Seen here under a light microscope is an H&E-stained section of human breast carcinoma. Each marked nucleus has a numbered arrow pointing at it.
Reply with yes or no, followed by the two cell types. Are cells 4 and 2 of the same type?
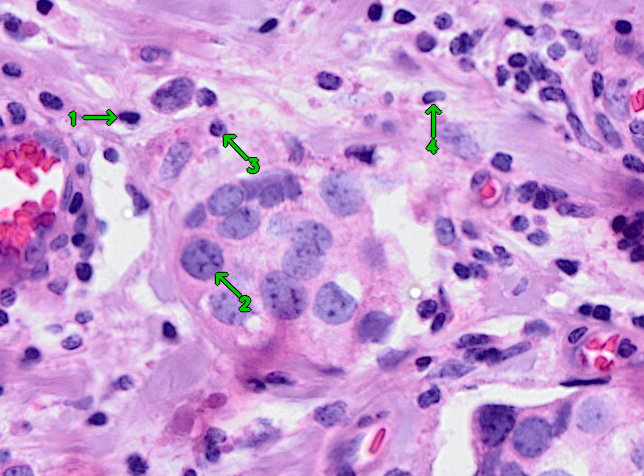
No, cell 4 is a lymphocyte and cell 2 is a carcinoma cell.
